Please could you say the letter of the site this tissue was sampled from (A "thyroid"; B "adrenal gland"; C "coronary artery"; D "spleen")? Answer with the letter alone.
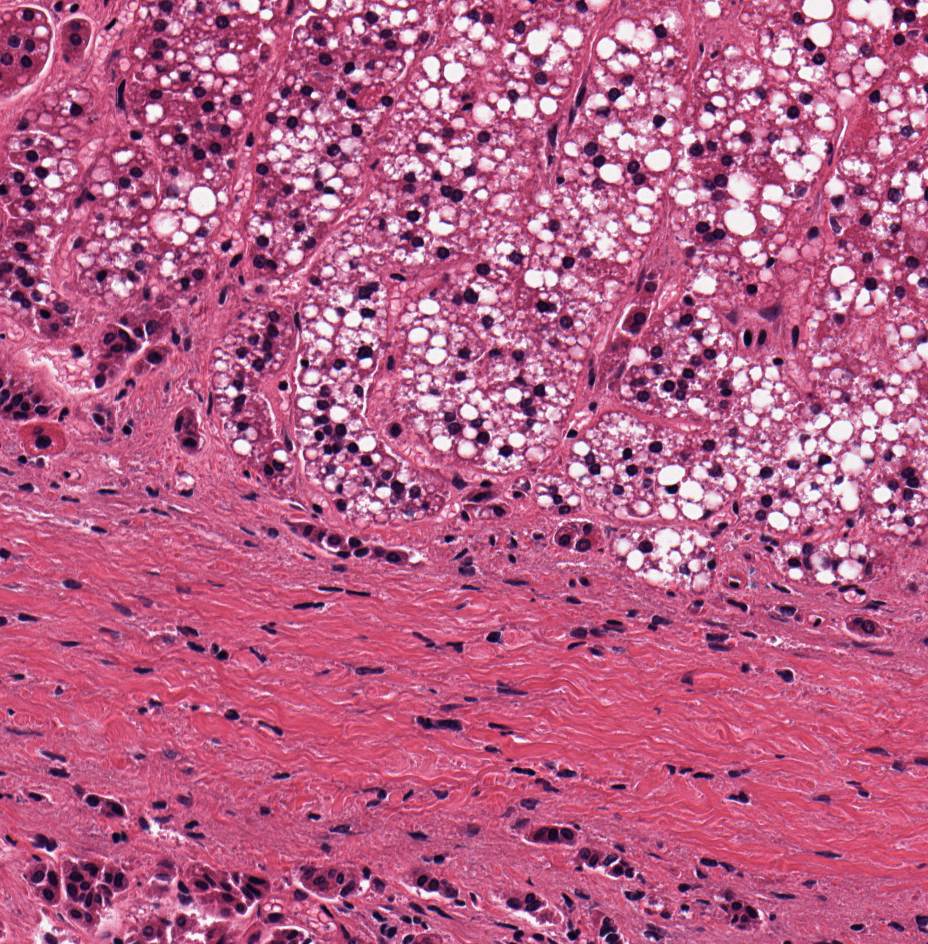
B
